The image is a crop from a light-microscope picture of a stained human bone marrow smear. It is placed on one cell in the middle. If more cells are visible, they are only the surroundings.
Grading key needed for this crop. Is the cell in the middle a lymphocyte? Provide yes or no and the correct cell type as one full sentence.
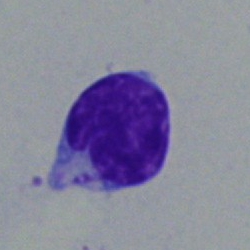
Yes, it is a lymphocyte that occupies the centre of the crop.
